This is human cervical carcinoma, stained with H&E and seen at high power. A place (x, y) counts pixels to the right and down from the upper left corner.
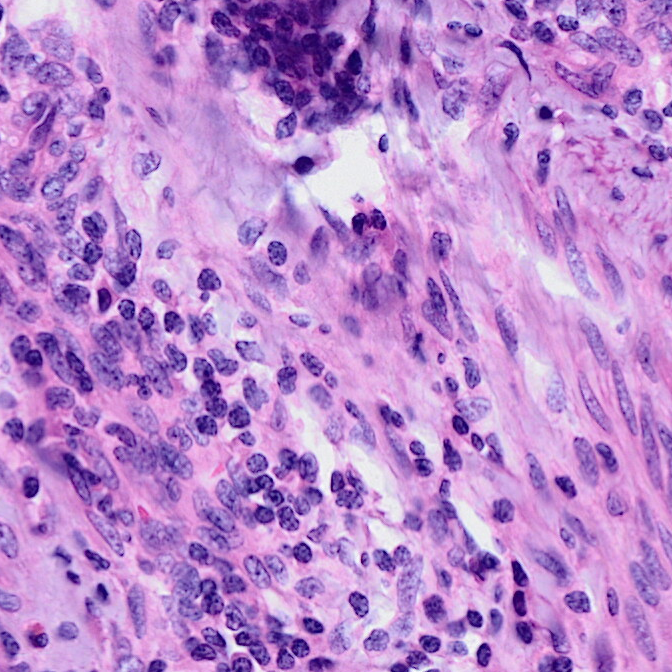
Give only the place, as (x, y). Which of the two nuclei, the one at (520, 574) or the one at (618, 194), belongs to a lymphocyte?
(520, 574)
